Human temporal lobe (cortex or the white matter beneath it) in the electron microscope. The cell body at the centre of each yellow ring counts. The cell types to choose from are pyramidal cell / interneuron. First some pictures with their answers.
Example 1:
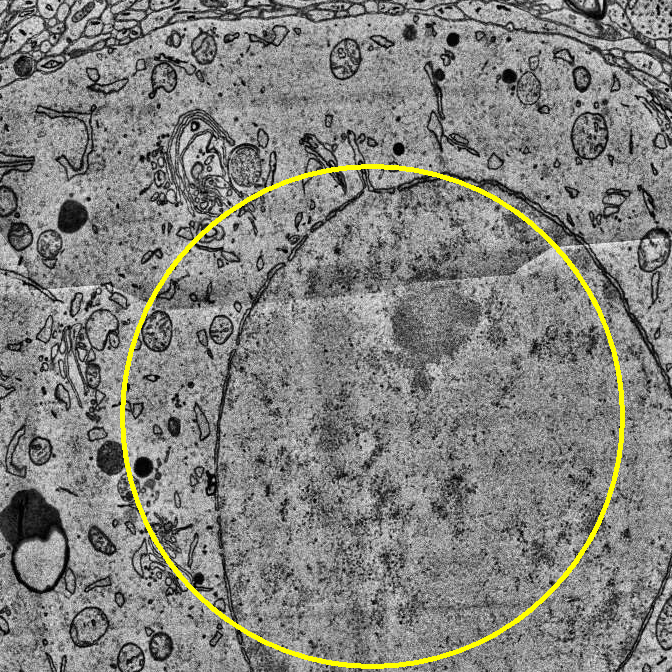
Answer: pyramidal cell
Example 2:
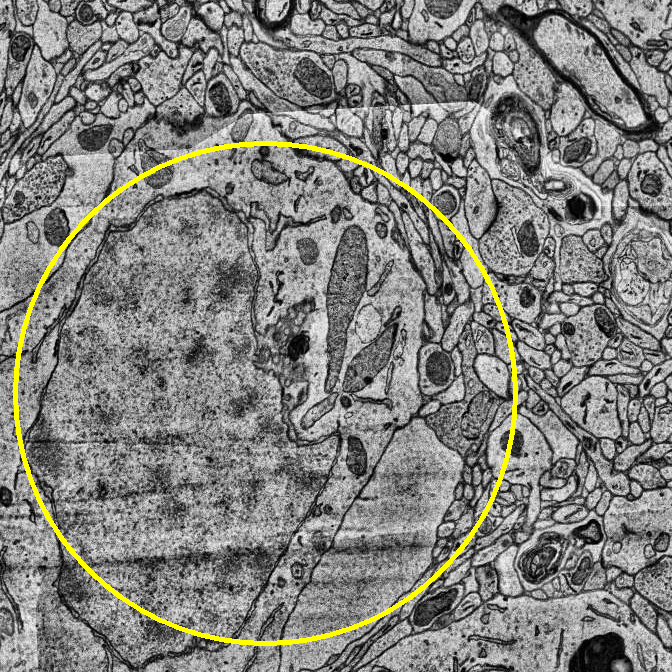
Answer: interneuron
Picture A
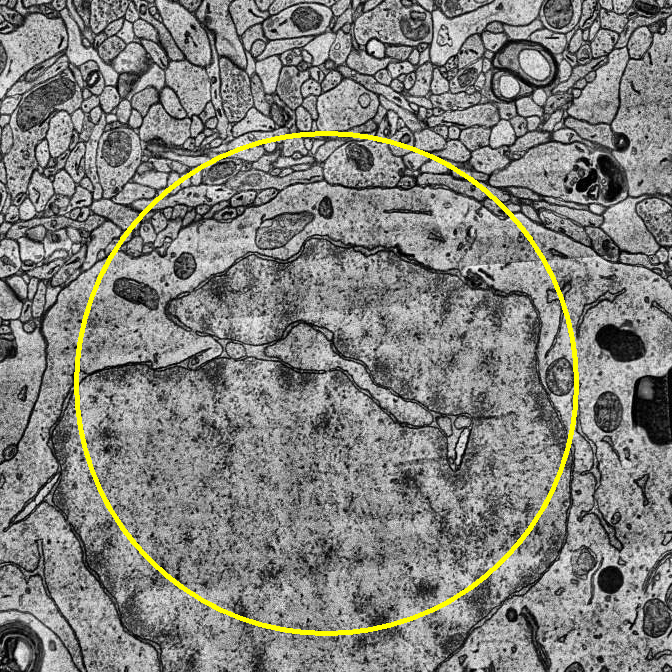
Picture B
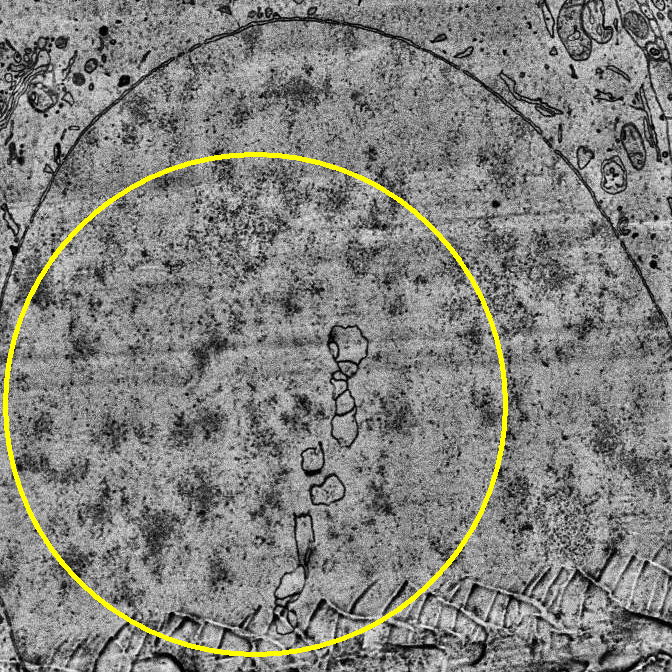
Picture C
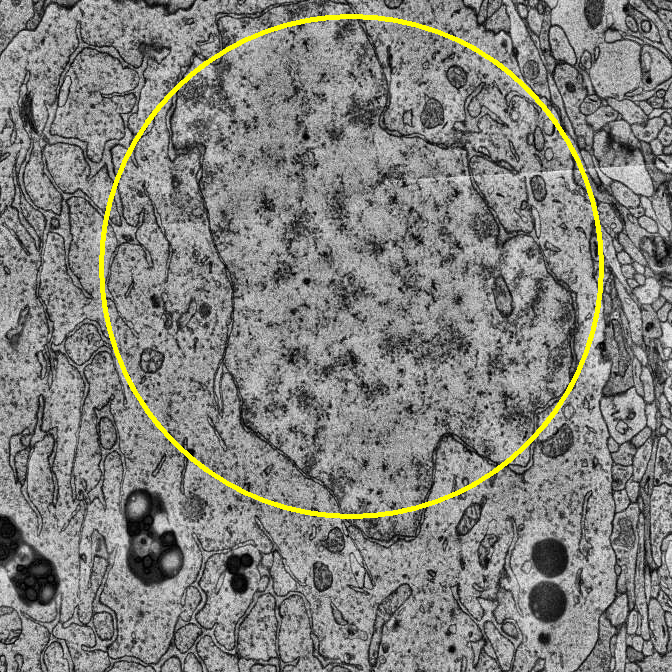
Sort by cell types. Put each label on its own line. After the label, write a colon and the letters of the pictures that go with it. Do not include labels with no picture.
pyramidal cell: B
interneuron: A, C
